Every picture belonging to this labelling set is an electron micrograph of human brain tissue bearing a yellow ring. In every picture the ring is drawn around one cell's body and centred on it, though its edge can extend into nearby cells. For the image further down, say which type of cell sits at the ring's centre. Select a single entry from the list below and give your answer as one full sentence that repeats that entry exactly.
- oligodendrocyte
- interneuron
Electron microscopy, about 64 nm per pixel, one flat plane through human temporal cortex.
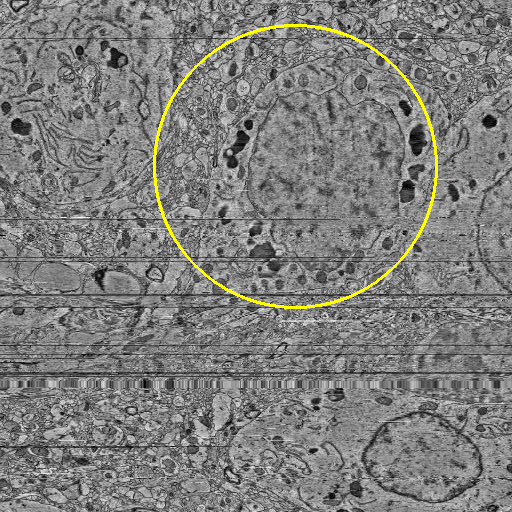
In the picture, an interneuron is the cell at the centre of the yellow ring.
